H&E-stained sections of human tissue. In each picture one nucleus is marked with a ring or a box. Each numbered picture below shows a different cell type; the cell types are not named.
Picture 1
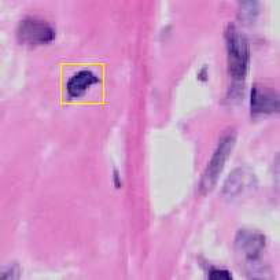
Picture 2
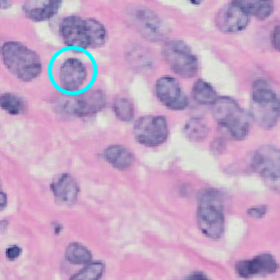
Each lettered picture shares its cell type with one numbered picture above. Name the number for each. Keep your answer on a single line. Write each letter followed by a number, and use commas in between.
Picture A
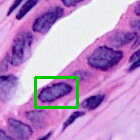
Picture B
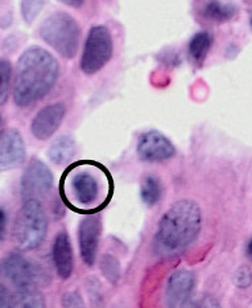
A 2, B 1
